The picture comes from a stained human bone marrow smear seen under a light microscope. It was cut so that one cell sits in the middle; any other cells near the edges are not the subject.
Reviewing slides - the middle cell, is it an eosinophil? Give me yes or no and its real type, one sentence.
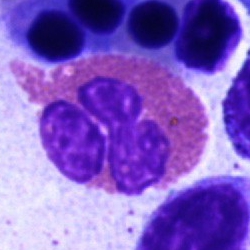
Yes, the cell located at the center is an eosinophil.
